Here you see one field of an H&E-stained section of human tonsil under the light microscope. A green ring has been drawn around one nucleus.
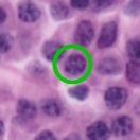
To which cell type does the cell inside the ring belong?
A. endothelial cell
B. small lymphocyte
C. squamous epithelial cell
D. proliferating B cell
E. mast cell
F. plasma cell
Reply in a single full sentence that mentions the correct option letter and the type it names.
Identified correctly by option F, the cell inside the ring is a plasma cell.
